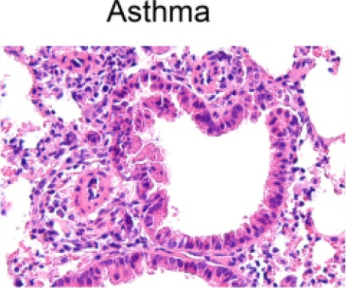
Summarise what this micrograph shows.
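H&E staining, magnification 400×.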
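This is lung tissue around a bronchiole with a neighbouring small vessel. The tissue shows an inflammatory response: many small round cells with dark purple nuclei fill the tissue around the airway and vessel.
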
